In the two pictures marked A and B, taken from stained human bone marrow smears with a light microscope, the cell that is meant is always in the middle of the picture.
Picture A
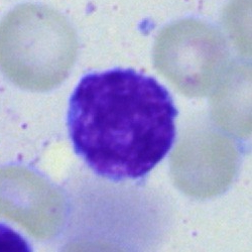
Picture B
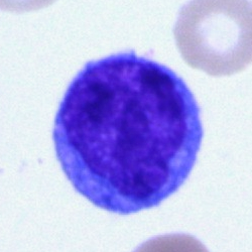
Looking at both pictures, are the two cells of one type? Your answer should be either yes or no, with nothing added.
no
